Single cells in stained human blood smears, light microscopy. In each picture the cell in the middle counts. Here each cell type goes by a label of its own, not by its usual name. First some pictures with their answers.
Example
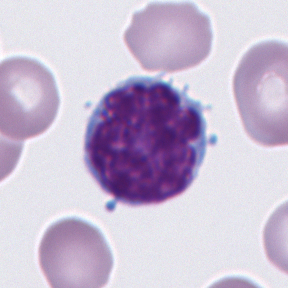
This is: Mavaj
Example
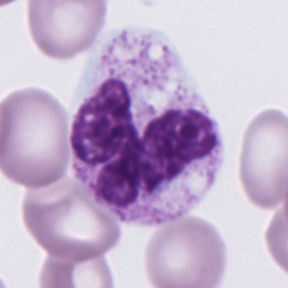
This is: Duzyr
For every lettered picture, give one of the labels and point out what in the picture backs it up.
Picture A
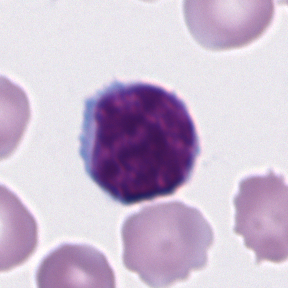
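Label: Mavaj. The cytoplasm forms only a thin rim that is widest on the left side of the cell.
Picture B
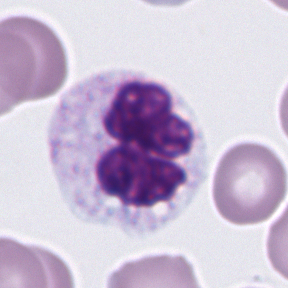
Label: Duzyr. The cytoplasm is abundant and pale lilac-pink.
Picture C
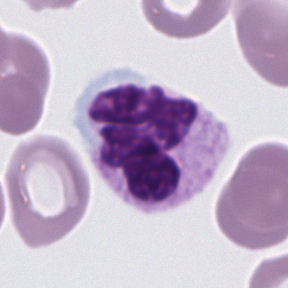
Label: Duzyr. The nucleus is folded into several overlapping lobes.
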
